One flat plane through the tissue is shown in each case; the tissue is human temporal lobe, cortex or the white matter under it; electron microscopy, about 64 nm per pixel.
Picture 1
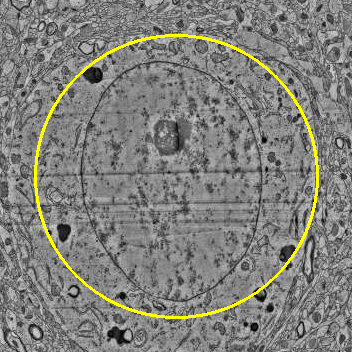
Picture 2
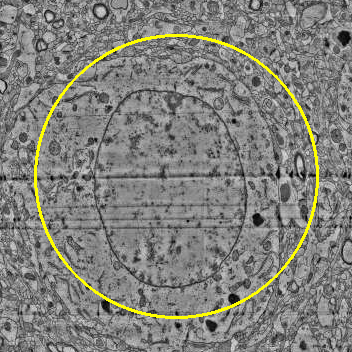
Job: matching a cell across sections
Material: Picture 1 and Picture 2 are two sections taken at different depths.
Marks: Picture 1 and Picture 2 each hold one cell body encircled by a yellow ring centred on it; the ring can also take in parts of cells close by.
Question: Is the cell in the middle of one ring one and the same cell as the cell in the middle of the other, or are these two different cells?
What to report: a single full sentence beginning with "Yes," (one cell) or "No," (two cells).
Yes, the second ring marks the same cell as the first.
